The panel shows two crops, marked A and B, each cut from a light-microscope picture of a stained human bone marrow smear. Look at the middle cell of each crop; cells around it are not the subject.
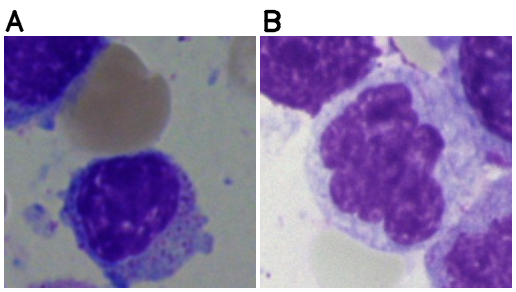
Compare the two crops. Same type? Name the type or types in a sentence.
No, crop A shows a myelocyte, whereas a monocyte is what crop B shows.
